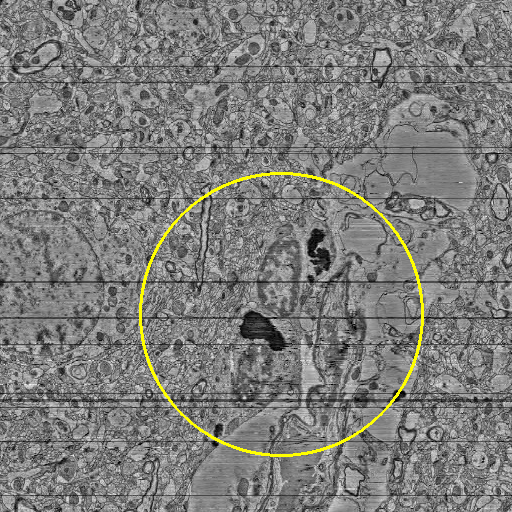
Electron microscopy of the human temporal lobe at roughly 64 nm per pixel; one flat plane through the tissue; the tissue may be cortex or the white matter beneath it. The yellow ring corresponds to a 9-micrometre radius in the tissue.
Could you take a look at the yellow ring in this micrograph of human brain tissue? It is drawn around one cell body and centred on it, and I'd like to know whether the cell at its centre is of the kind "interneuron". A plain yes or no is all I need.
no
